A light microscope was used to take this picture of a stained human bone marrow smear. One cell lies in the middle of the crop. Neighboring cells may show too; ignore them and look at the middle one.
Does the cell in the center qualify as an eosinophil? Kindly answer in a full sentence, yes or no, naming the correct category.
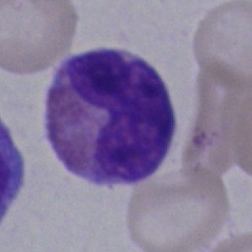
Yes, the cell at the very centre of the crop is an eosinophil.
